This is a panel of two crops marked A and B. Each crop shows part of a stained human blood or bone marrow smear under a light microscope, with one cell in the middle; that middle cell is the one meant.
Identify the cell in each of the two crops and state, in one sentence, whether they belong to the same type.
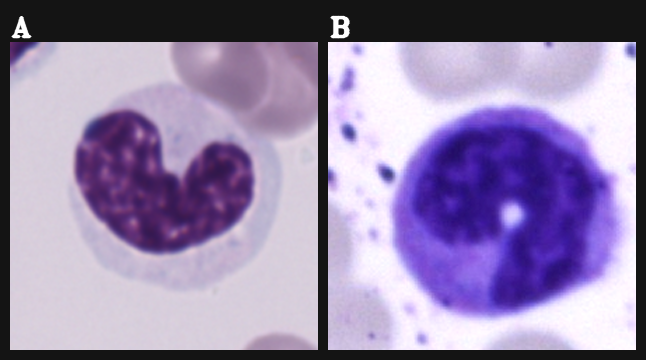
No, a band neutrophil lies at the centre of crop A, and a monocyte lies at the centre of crop B.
